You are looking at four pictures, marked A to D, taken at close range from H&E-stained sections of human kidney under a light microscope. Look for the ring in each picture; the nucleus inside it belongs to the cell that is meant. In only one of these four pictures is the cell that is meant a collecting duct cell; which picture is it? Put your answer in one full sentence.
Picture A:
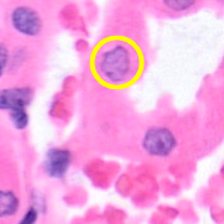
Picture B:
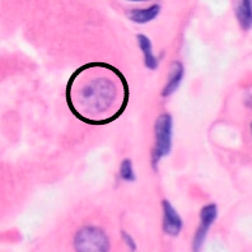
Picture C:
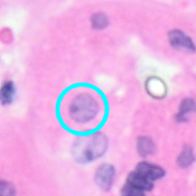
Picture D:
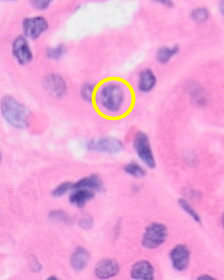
The picture with the collecting duct cell is D.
